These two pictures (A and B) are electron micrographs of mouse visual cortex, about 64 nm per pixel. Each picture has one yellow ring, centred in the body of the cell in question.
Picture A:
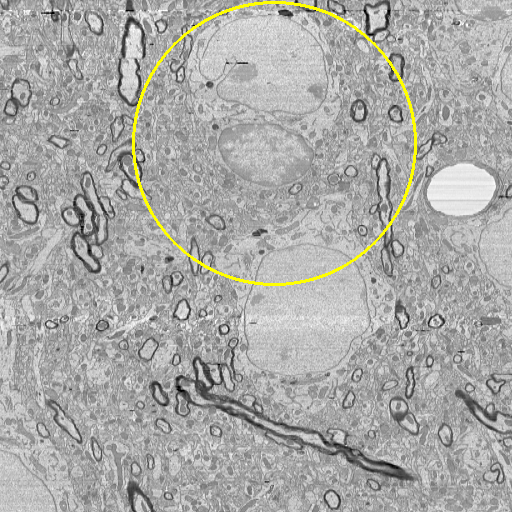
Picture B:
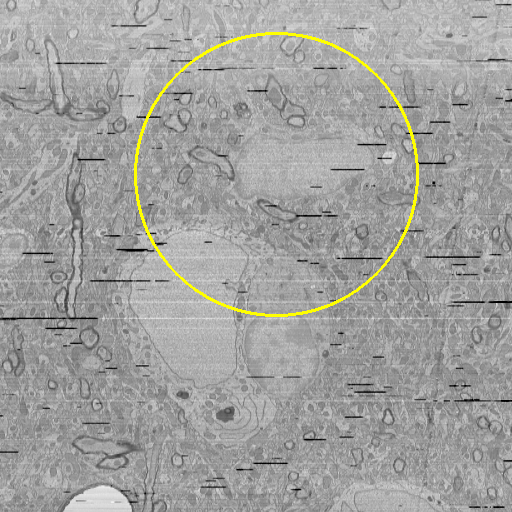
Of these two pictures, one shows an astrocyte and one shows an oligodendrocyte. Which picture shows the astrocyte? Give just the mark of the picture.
B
